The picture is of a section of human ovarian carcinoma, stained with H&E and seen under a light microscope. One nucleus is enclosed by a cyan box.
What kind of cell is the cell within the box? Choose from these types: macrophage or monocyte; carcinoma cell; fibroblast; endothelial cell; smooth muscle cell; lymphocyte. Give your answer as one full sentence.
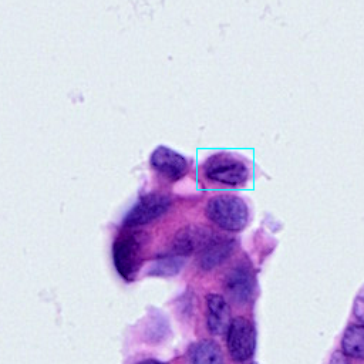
It is as a macrophage or monocyte that the cell within the box is classified.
